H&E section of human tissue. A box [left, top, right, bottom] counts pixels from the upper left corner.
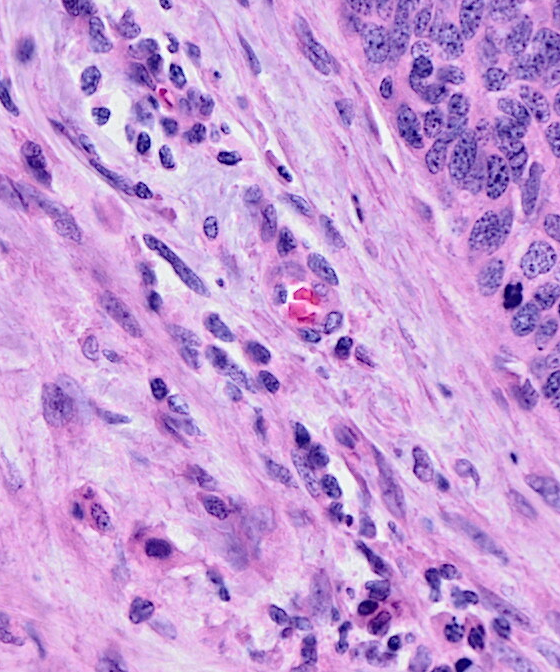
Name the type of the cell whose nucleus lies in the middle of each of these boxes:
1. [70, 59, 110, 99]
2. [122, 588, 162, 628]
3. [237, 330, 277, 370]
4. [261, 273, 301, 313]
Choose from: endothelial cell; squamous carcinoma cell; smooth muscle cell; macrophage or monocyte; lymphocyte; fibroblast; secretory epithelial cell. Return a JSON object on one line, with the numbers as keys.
{"1": "lymphocyte", "2": "lymphocyte", "3": "lymphocyte", "4": "endothelial cell"}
